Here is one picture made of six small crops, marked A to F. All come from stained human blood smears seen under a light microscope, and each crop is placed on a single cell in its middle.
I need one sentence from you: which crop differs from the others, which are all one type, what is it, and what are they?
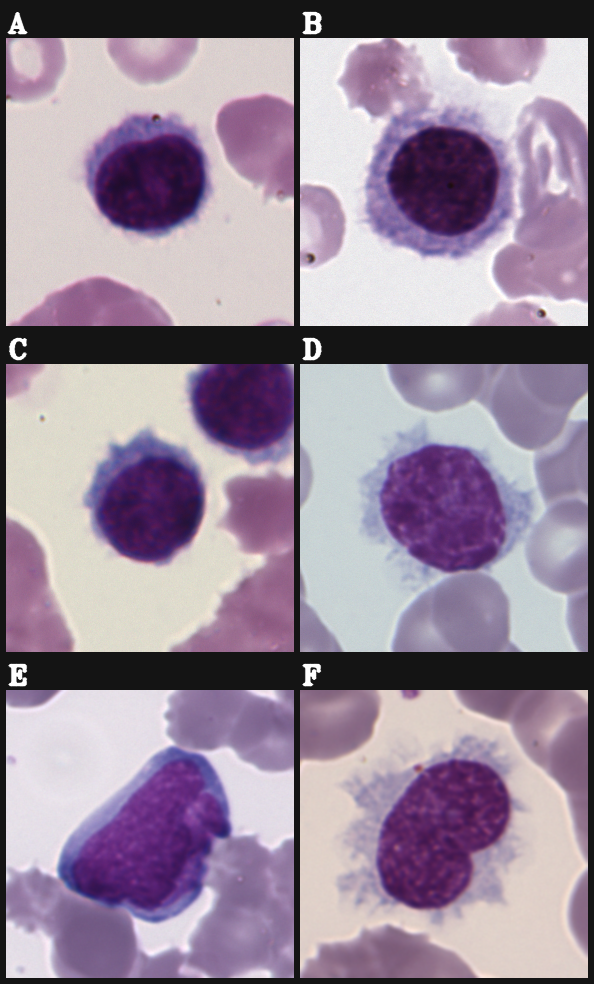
The outlier here is crop E, which is a myeloblast, while the remainder show hairy cells.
